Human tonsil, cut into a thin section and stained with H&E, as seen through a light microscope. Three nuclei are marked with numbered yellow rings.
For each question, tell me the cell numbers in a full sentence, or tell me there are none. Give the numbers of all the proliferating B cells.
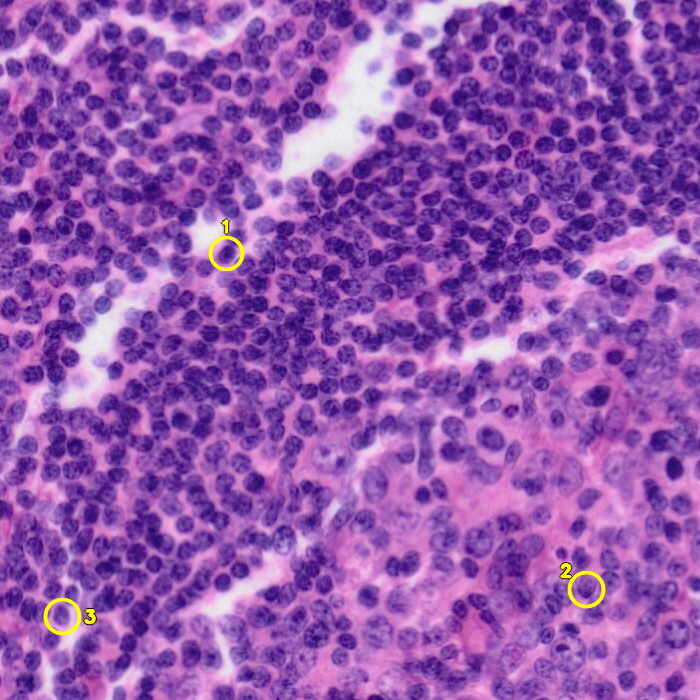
No marked cell except number 2 is a proliferating B cell.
